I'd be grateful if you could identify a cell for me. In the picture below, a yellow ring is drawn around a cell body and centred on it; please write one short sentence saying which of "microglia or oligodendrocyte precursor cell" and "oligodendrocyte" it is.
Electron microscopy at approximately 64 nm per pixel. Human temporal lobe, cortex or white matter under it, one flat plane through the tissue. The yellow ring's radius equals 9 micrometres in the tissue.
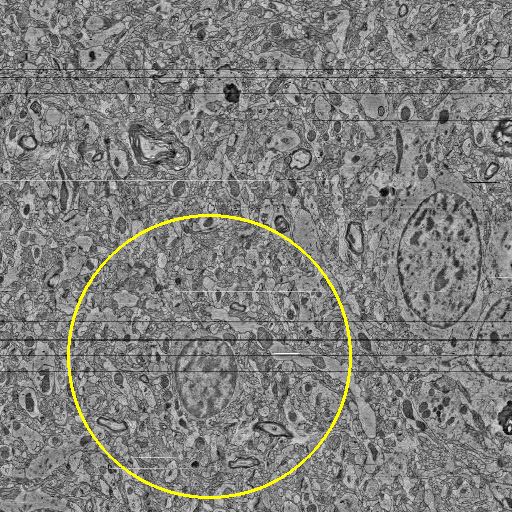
The cell under the ring's centre is an oligodendrocyte.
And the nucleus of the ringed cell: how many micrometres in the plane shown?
Roughly 5 by 4 micrometres is the size of the nucleus in this plane.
